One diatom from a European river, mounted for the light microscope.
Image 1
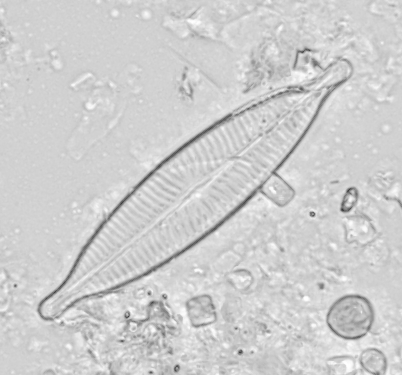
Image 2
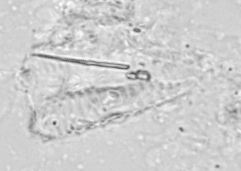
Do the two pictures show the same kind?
No: Navicula, then Gomphonella.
